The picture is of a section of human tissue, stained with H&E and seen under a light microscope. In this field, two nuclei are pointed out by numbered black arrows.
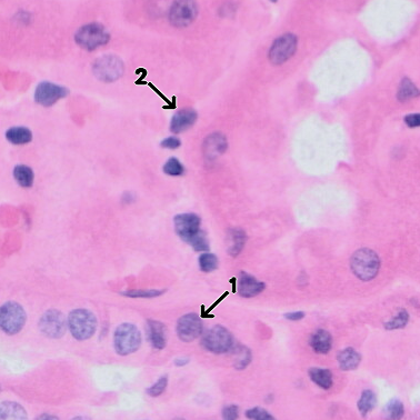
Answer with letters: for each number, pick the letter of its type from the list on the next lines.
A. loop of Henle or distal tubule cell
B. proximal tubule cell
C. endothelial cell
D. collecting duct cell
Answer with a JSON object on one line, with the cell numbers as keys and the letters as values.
{"1": "D", "2": "C"}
